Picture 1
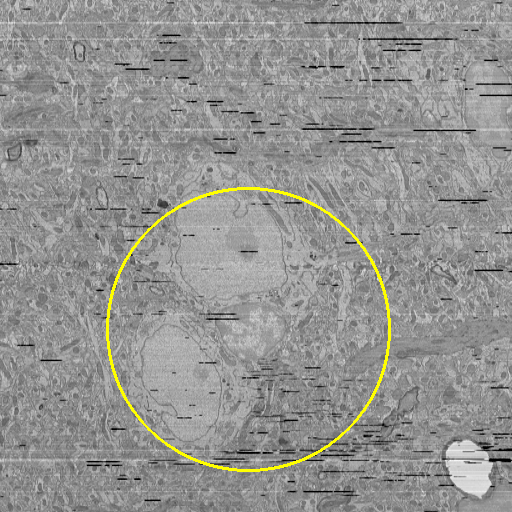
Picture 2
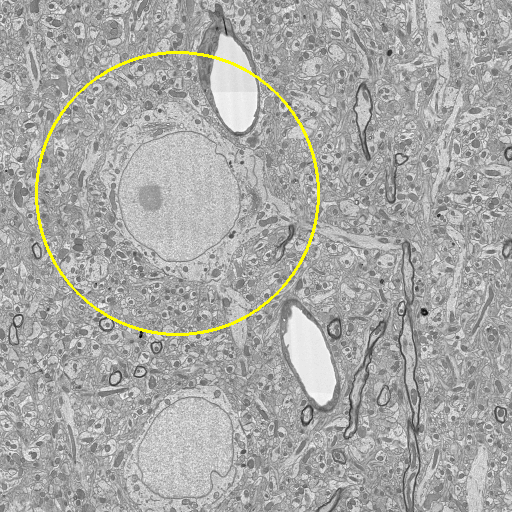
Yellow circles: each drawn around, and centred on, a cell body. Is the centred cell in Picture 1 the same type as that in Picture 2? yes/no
no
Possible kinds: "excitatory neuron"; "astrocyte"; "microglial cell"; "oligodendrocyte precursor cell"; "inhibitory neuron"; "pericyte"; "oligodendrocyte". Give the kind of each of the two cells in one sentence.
The cell in the second picture is an excitatory neuron, and that in the first is an oligodendrocyte.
